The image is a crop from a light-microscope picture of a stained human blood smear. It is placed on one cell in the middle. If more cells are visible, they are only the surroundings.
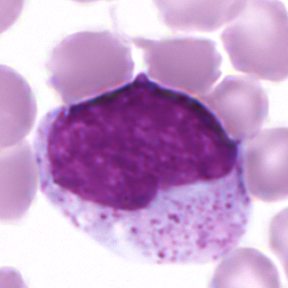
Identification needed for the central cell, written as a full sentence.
The cell positioned in the middle of the field is a myelocyte.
